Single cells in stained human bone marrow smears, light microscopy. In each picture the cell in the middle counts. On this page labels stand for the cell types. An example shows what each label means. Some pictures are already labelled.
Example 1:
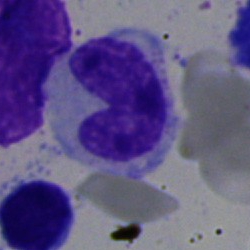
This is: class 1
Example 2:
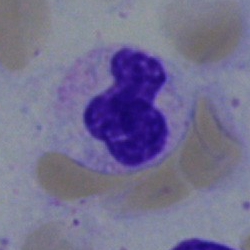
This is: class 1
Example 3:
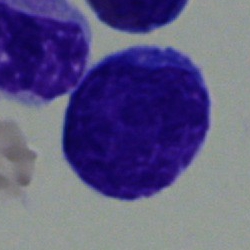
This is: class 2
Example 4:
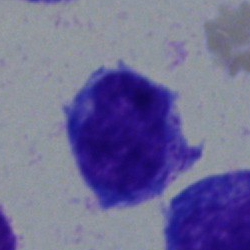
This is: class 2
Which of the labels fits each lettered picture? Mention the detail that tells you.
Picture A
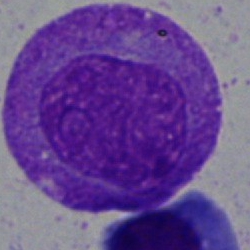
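class 2. Evidence: The chromatin is finely stippled with small pale spots rather than coarsely clumped.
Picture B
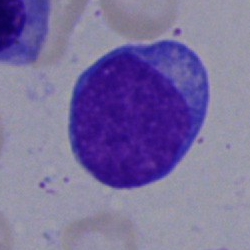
class 2. Evidence: The nucleus fills most of the cell and sits toward the lower left.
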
